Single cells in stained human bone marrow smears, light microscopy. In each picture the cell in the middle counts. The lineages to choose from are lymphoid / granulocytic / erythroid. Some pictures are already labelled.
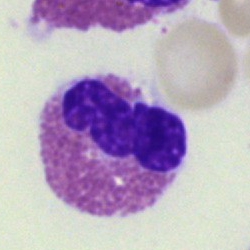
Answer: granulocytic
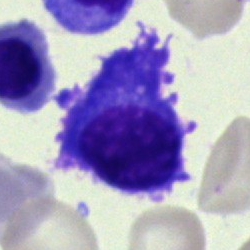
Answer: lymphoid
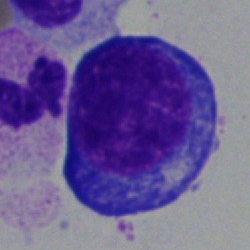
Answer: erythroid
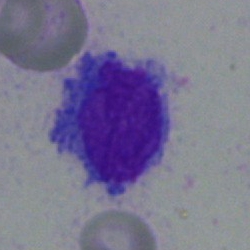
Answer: lymphoid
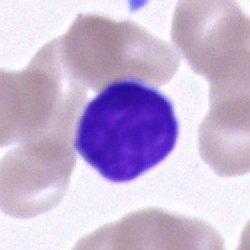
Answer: lymphoid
